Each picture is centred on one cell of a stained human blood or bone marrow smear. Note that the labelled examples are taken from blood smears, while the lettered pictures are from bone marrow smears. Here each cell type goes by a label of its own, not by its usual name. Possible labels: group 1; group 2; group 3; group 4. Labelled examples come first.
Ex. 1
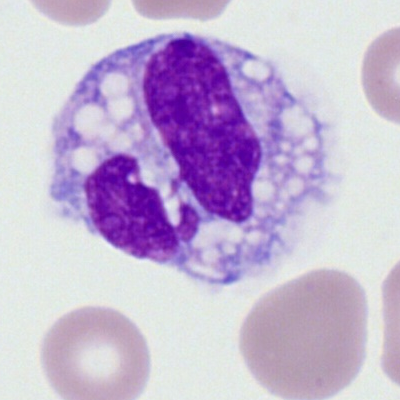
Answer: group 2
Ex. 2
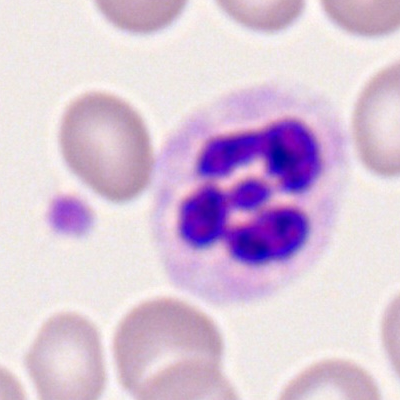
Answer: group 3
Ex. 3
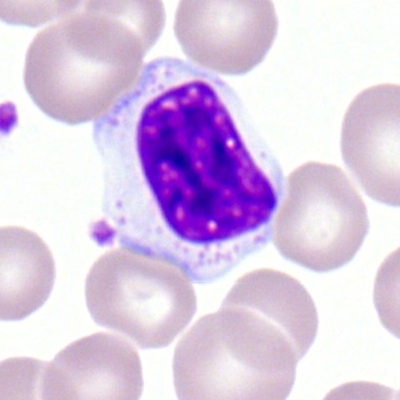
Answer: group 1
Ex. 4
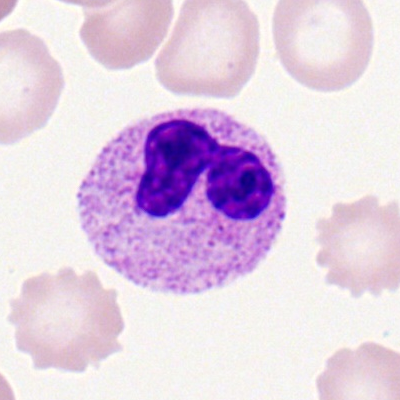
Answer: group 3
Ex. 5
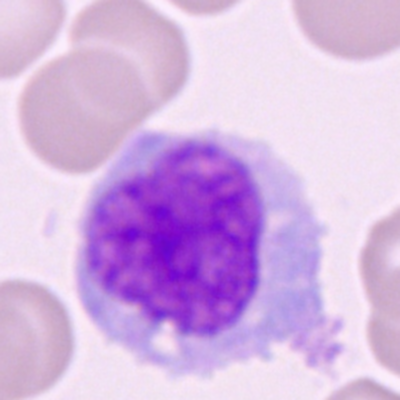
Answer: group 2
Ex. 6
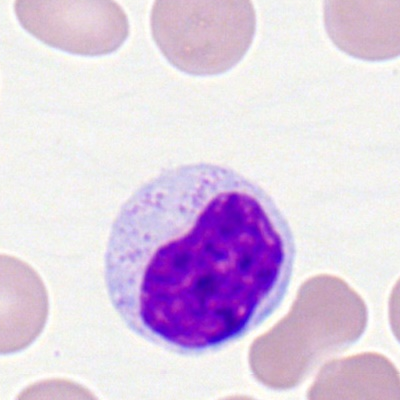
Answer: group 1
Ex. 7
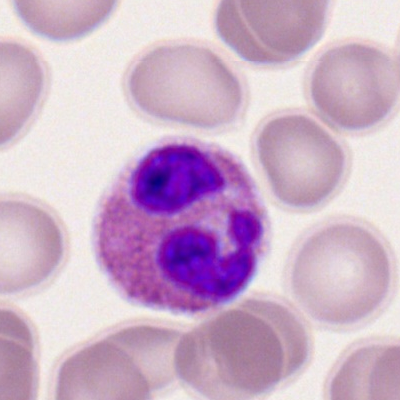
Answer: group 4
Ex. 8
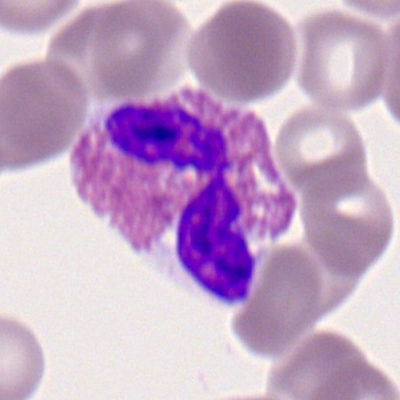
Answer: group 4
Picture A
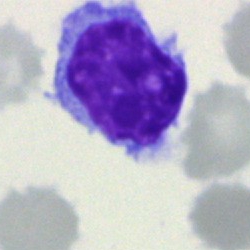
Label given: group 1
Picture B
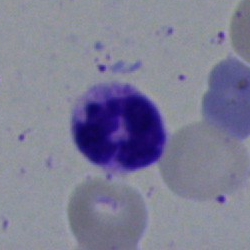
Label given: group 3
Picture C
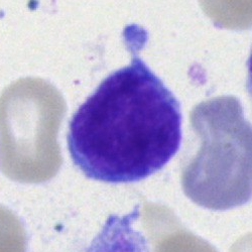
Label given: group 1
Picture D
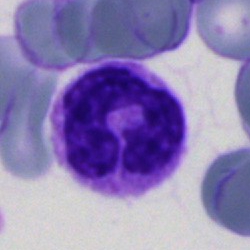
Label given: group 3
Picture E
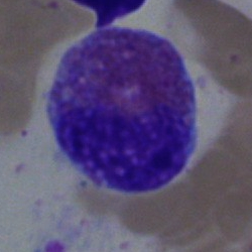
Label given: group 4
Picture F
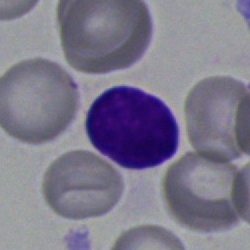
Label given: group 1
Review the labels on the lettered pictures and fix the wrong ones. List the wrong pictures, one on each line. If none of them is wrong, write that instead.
None of the labels needs changing.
